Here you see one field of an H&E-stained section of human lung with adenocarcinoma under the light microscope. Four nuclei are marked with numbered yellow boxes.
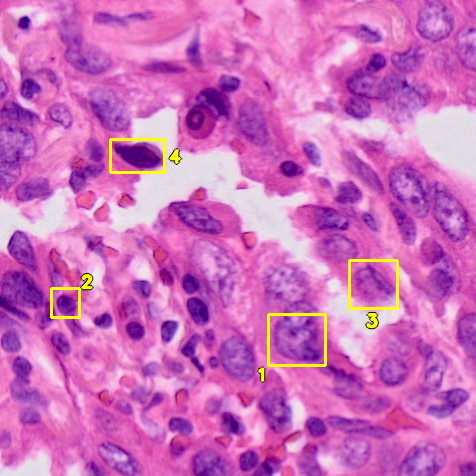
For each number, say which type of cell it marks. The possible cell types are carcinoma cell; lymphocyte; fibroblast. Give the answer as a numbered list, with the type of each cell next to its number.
1. carcinoma cell
2. lymphocyte
3. carcinoma cell
4. carcinoma cell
